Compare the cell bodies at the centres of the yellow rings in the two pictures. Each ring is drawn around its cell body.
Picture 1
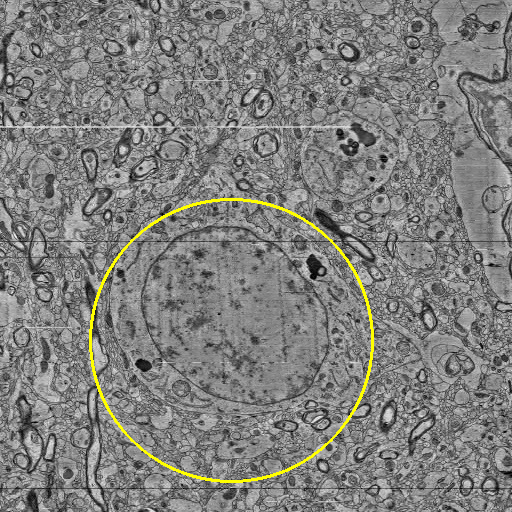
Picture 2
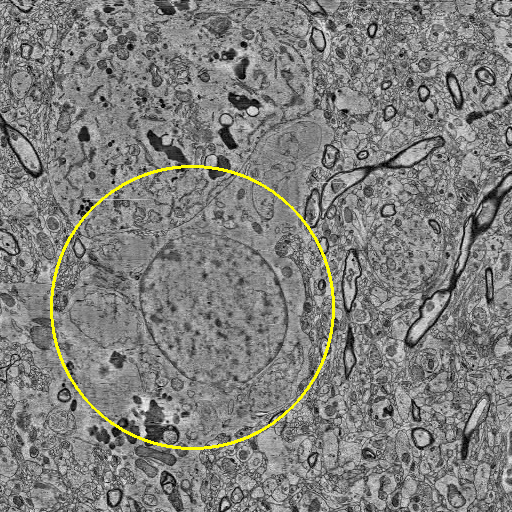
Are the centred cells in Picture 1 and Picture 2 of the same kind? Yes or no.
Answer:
no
